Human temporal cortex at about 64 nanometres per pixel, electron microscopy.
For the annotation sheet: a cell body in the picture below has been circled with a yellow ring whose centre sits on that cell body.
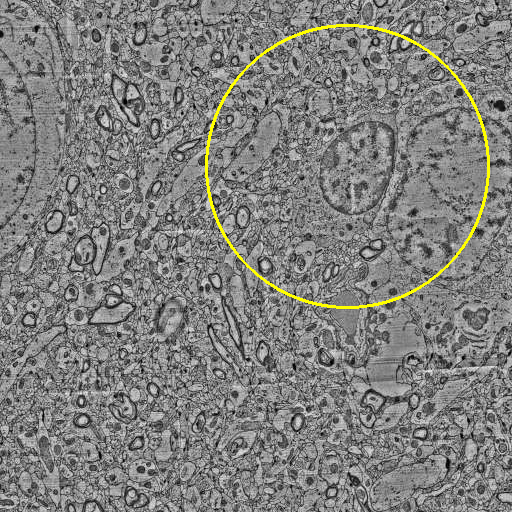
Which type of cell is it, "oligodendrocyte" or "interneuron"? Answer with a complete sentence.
The circled cell is an oligodendrocyte.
